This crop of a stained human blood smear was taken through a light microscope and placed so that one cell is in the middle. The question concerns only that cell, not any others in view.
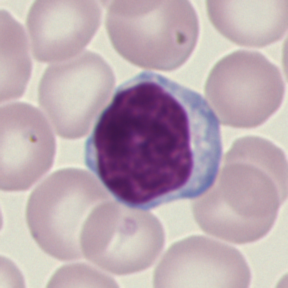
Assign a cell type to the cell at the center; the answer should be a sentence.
At the middle of the frame sits a lymphocyte.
